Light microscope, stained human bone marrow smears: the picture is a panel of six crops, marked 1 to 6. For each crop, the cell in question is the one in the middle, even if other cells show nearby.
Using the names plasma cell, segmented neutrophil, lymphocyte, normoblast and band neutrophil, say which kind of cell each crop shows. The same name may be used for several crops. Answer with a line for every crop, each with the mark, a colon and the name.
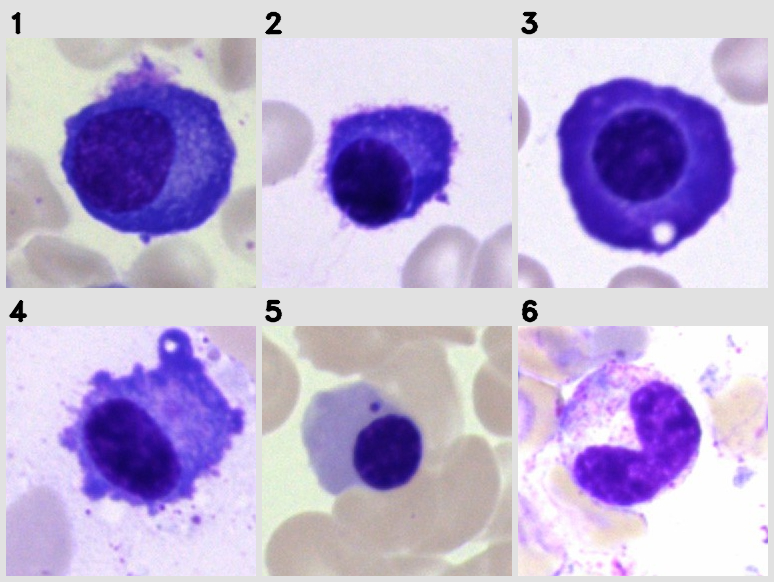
1: plasma cell
2: plasma cell
3: plasma cell
4: plasma cell
5: normoblast
6: band neutrophil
